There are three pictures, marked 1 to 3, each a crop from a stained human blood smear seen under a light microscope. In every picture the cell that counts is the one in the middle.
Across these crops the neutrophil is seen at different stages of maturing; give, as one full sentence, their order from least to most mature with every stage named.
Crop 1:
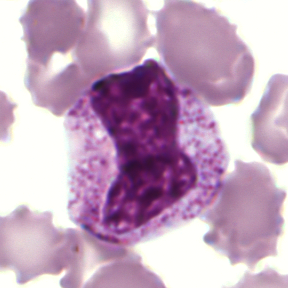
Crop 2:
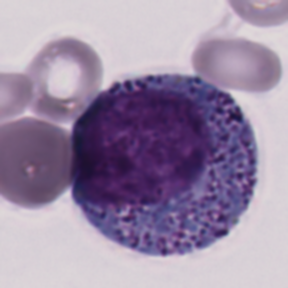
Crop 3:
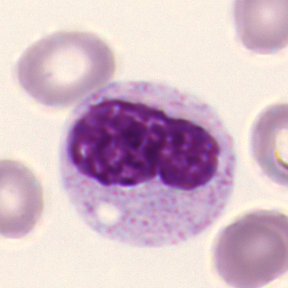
The series, from least to most mature, is crop 2 (a promyelocyte), crop 1 (a metamyelocyte) and crop 3 (a band neutrophil).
